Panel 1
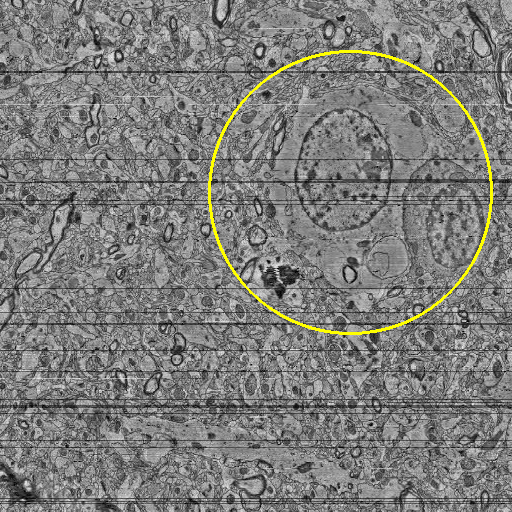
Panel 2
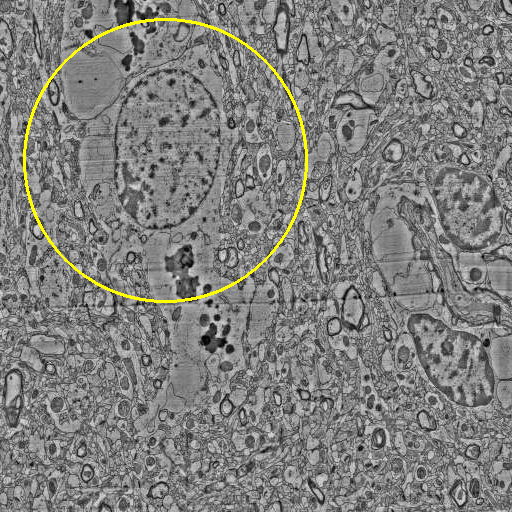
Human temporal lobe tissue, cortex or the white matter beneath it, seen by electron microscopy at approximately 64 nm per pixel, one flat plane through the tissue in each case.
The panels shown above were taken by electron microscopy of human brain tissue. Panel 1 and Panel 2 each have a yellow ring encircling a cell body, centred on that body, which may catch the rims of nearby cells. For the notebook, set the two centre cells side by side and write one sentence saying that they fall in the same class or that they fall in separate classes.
The centred cells of Panel 1 and Panel 2 fall in the same class.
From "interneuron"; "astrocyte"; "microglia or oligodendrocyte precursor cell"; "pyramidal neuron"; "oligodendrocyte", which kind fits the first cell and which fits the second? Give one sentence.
Both the first and the second picture show an astrocyte in the ring.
